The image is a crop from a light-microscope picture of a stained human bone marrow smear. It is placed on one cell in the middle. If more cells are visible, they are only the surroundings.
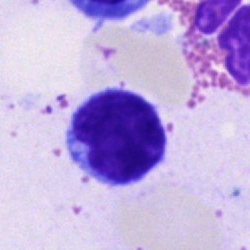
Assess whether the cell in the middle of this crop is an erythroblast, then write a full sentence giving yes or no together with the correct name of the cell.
No, it is a lymphocyte, not an erythroblast, that lies at the centre of the crop.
